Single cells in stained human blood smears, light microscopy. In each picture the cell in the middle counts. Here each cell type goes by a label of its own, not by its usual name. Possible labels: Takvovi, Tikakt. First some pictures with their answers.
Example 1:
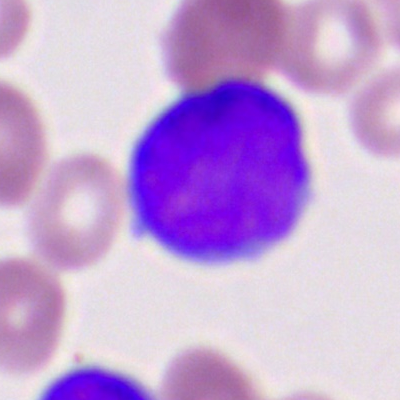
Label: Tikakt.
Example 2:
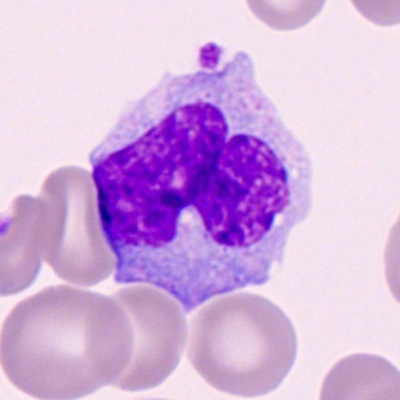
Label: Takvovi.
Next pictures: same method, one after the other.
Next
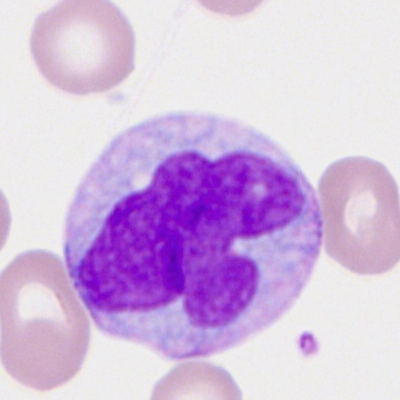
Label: Takvovi.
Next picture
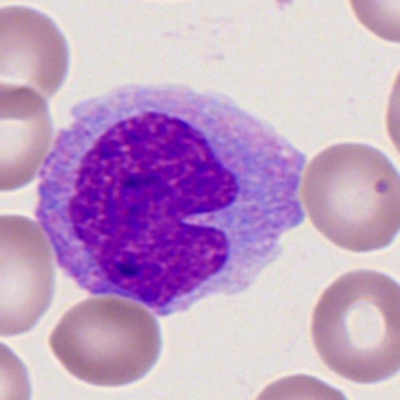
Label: Takvovi.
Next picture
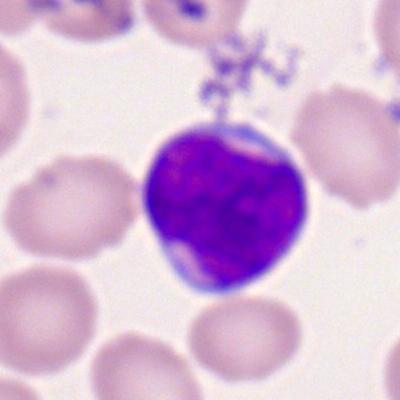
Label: Tikakt.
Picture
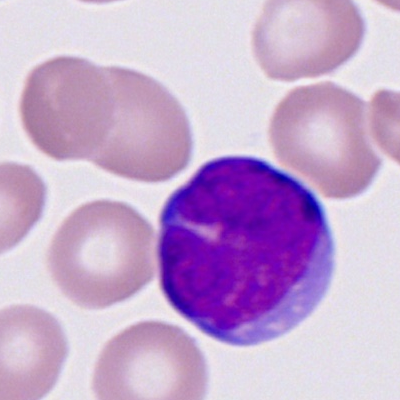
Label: Tikakt.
